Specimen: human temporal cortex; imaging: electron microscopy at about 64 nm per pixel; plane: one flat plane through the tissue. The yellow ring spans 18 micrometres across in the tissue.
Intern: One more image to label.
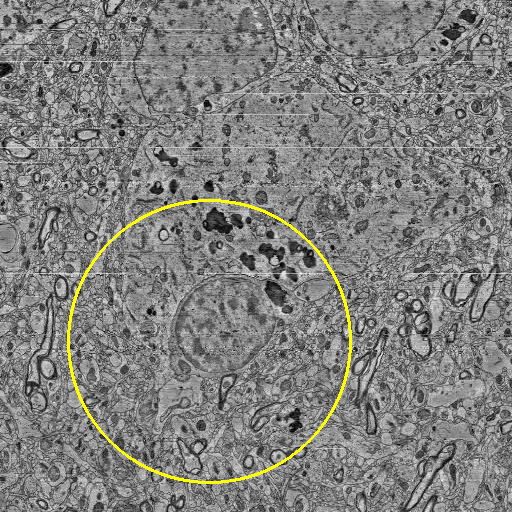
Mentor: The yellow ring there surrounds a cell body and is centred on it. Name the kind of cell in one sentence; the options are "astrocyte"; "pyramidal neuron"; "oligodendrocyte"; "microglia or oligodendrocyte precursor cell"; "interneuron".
The ring marks the cell body of an oligodendrocyte.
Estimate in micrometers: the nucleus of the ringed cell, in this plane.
About 8 micrometres by about 6 micrometres in this plane.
